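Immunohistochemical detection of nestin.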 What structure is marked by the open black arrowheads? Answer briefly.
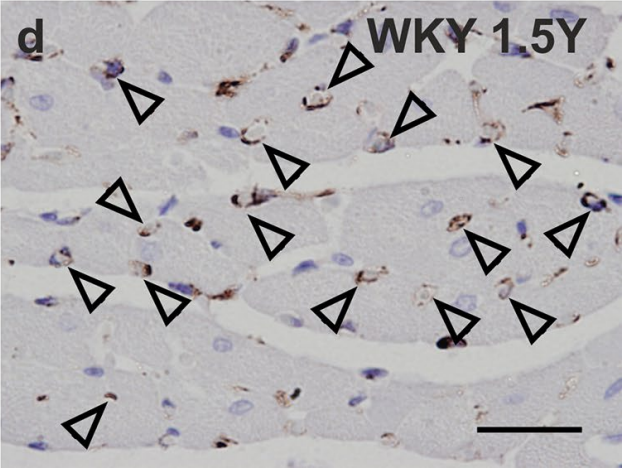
Myocardial capillaries.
